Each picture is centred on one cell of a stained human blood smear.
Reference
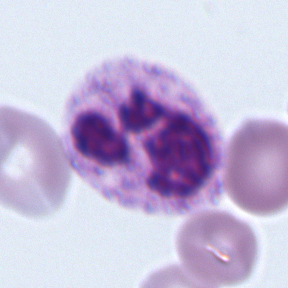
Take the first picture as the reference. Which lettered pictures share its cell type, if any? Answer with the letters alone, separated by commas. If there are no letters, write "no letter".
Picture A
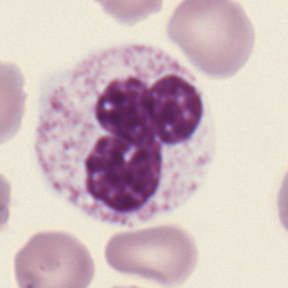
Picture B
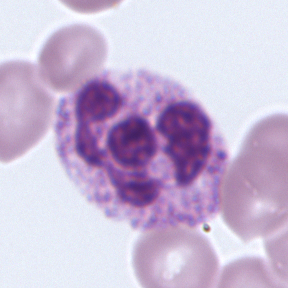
A, B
